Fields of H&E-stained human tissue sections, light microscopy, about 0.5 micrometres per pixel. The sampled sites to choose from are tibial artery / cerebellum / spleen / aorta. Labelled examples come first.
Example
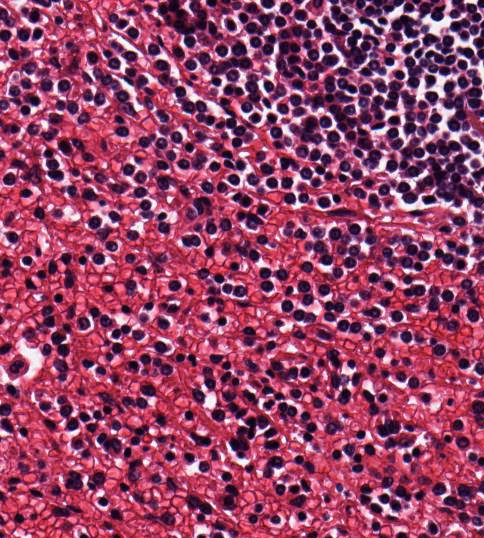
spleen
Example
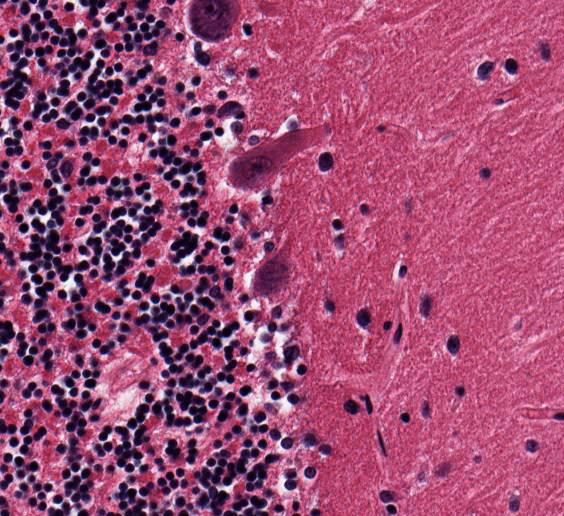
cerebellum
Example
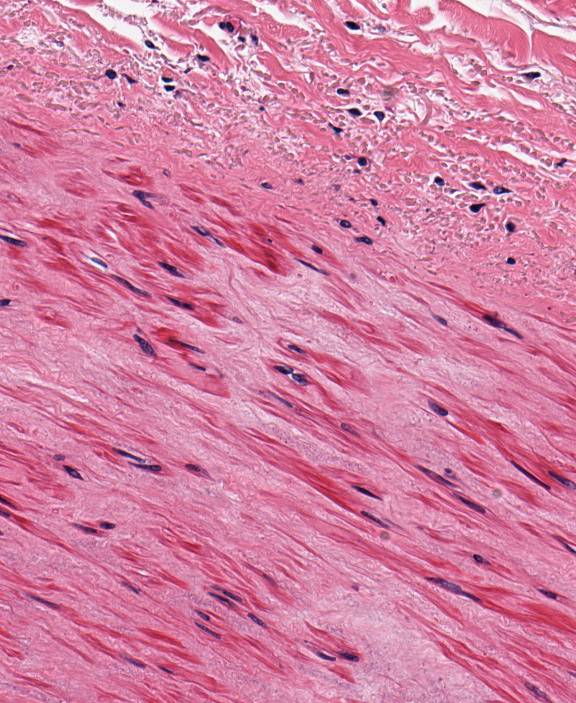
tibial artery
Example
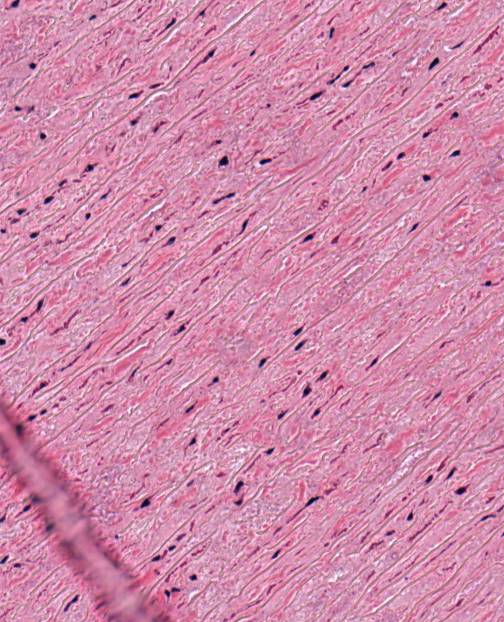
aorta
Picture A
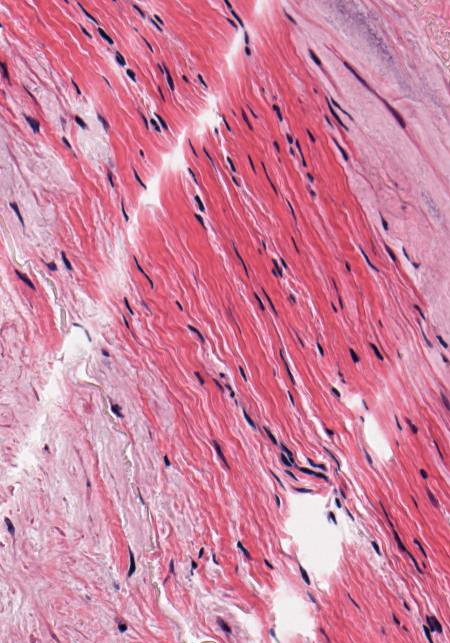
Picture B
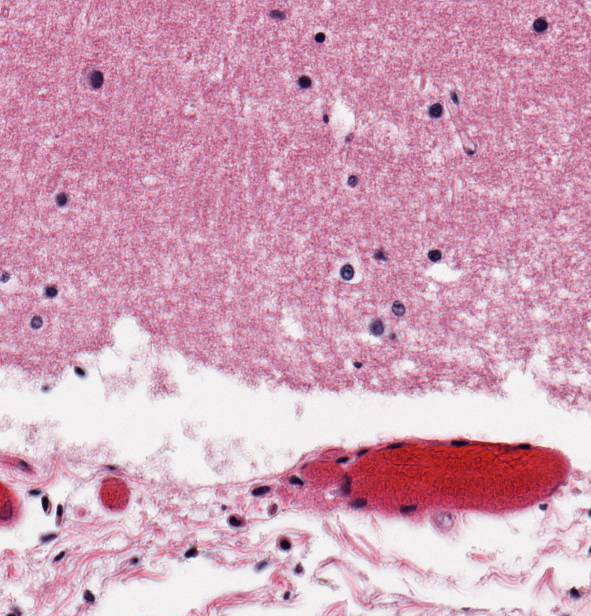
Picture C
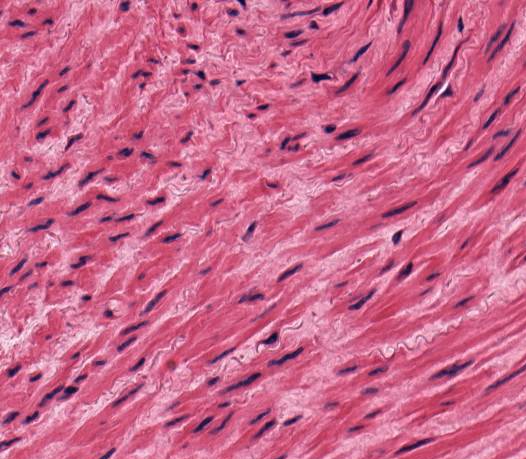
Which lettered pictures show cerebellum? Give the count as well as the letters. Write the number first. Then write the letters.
1: B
